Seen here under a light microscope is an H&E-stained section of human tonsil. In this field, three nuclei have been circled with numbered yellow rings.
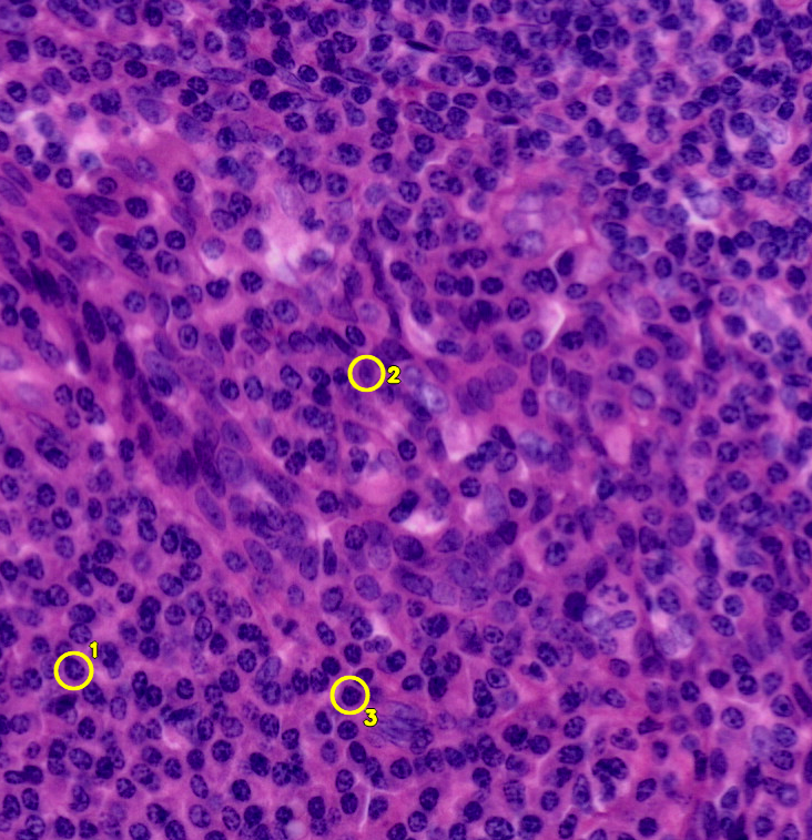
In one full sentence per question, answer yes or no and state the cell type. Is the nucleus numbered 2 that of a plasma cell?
No, cell 2 is not a plasma cell, but is instead a squamous epithelial cell.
